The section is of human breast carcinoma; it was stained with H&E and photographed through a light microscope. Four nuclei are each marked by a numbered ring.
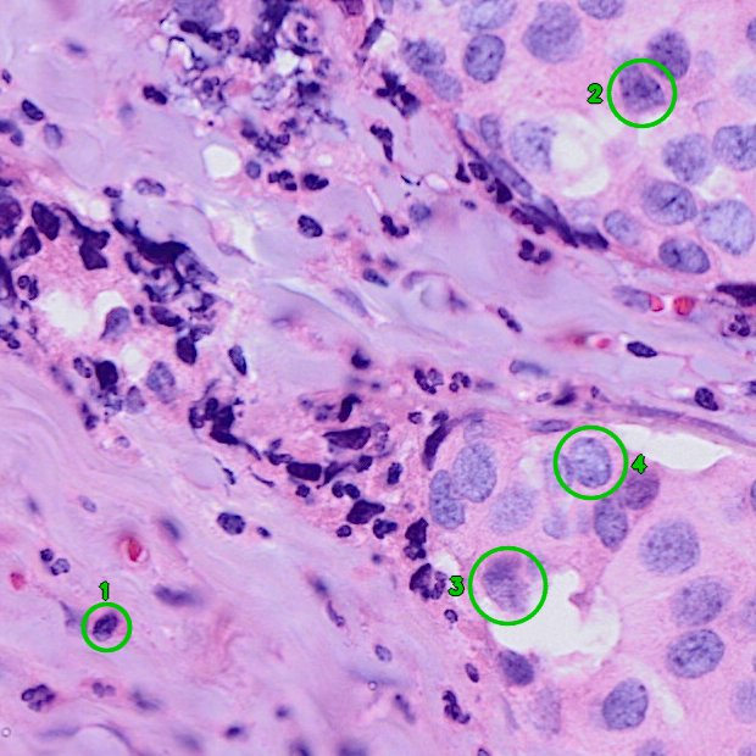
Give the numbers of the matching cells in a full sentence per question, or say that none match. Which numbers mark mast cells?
Among the numbered cells, cell 1 alone is a mast cell.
